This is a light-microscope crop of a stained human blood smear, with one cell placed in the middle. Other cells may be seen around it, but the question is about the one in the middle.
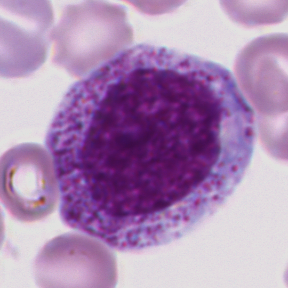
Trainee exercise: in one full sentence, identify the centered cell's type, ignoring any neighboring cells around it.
Answering briefly, the cell in the middle is a promyelocyte.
